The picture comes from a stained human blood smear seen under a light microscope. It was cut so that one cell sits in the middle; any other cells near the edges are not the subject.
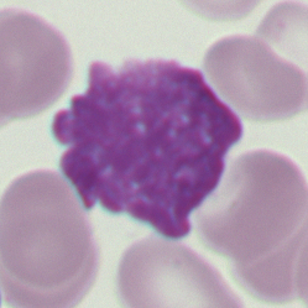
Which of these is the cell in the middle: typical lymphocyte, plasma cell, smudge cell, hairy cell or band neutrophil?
smudge cell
